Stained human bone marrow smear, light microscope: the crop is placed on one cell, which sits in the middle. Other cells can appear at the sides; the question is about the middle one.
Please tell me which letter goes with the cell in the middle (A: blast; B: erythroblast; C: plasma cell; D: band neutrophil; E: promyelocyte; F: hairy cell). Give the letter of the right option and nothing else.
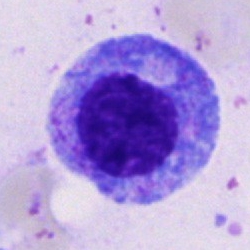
E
